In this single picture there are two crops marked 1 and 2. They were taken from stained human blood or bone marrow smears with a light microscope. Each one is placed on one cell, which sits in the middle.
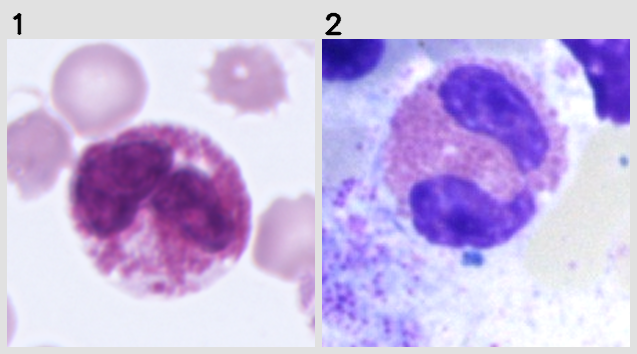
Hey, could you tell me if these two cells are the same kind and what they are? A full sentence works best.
Yes, the two crops share the same answer, eosinophils.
